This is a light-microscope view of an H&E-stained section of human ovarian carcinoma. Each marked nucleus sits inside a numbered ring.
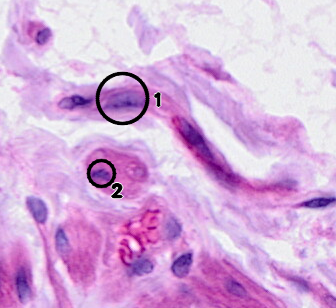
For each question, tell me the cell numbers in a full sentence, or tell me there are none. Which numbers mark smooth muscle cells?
Across all the numbered cells, only number 2 is a smooth muscle cell.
